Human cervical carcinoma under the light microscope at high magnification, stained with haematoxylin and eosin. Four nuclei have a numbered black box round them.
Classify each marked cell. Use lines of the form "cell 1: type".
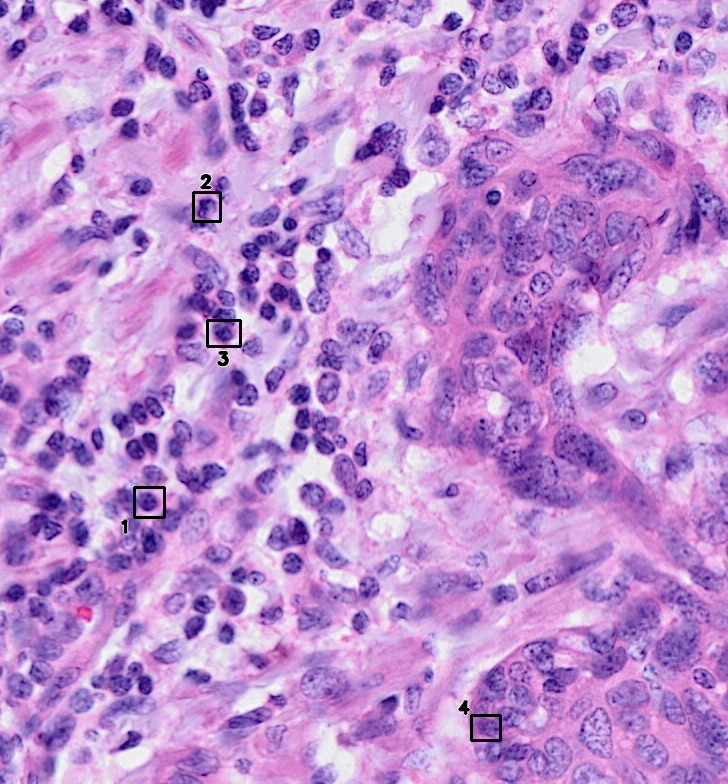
cell 1: lymphocyte
cell 2: lymphocyte
cell 3: lymphocyte
cell 4: squamous carcinoma cell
